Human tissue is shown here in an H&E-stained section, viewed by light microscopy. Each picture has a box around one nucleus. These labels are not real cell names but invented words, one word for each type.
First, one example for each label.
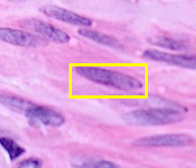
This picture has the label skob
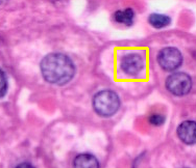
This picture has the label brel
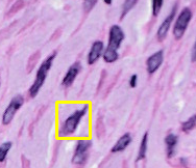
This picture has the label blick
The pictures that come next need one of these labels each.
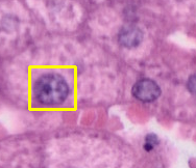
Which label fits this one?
brel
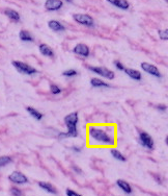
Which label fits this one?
skob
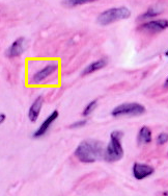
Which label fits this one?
skob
